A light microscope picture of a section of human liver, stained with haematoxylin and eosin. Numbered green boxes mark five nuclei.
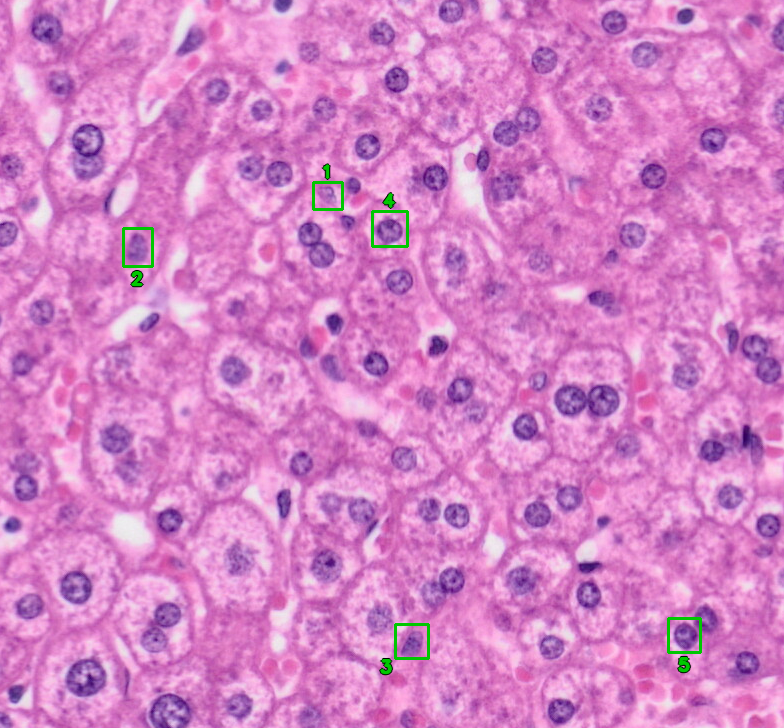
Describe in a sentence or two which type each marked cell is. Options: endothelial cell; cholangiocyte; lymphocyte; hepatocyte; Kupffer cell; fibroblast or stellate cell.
Cell 1 is a Kupffer cell. Cells 2, 4 and 5 are hepatocytes. Cell 3 is an endothelial cell.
